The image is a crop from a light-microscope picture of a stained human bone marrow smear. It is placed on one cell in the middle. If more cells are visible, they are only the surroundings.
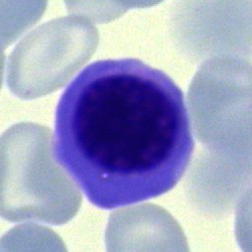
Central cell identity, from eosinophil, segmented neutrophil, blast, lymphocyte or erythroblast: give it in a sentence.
The cell at the centre of the field is an erythroblast.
